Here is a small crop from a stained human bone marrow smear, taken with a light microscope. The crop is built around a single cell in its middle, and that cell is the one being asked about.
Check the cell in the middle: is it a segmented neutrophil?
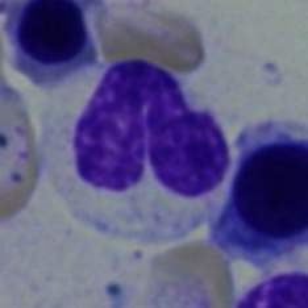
no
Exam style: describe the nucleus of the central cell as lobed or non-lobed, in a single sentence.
Segmentation of the nucleus into two or more lobes is the finding.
